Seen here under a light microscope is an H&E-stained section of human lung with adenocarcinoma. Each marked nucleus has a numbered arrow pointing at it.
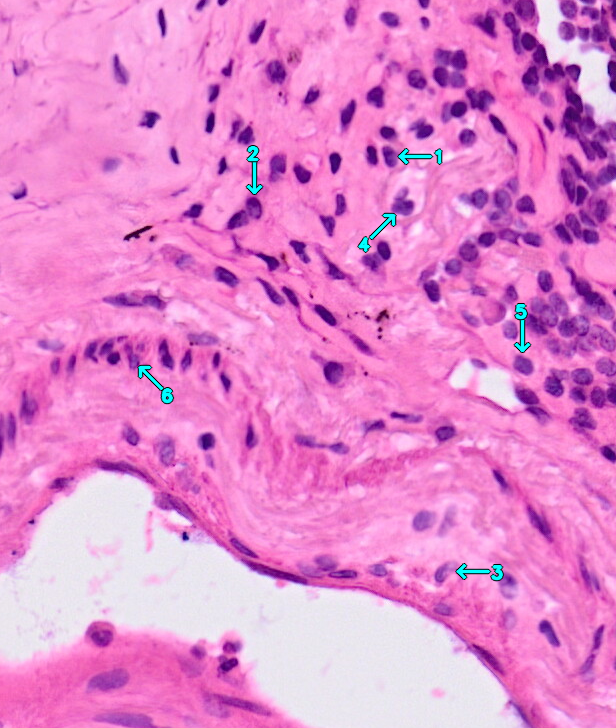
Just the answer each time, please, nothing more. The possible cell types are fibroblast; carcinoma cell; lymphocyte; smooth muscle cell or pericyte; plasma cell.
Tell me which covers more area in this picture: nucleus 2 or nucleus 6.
2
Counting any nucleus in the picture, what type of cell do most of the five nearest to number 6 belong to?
smooth muscle cell or pericyte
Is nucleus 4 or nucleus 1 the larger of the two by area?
4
